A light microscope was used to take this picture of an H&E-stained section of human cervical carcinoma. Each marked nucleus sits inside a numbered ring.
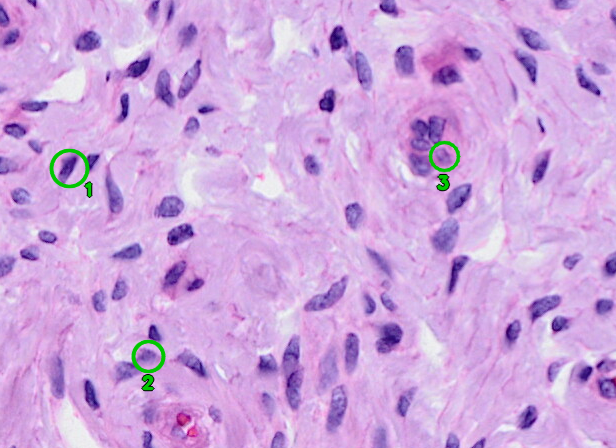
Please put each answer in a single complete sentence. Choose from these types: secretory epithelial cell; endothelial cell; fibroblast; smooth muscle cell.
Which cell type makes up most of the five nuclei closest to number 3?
Around number 3, most of the five nearest nuclei are those of endothelial cells.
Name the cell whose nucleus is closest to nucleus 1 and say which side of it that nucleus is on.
It is a fibroblast, whose nucleus lies to the right of nucleus 1.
